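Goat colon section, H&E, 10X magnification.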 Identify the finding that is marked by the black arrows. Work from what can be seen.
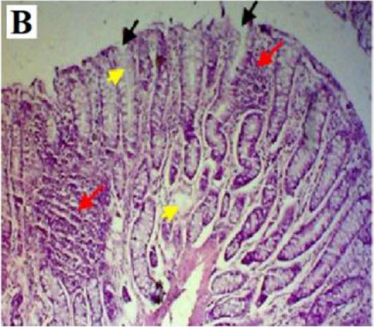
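Epithelial injury. The black arrows point at the luminal surface of the mucosa. The surface lining at the arrow tips looks frayed and interrupted.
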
